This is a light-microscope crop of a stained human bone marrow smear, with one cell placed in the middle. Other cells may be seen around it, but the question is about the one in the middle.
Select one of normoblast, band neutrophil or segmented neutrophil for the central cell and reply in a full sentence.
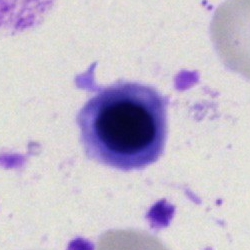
The cell at the middle of the crop is recognized as a normoblast.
